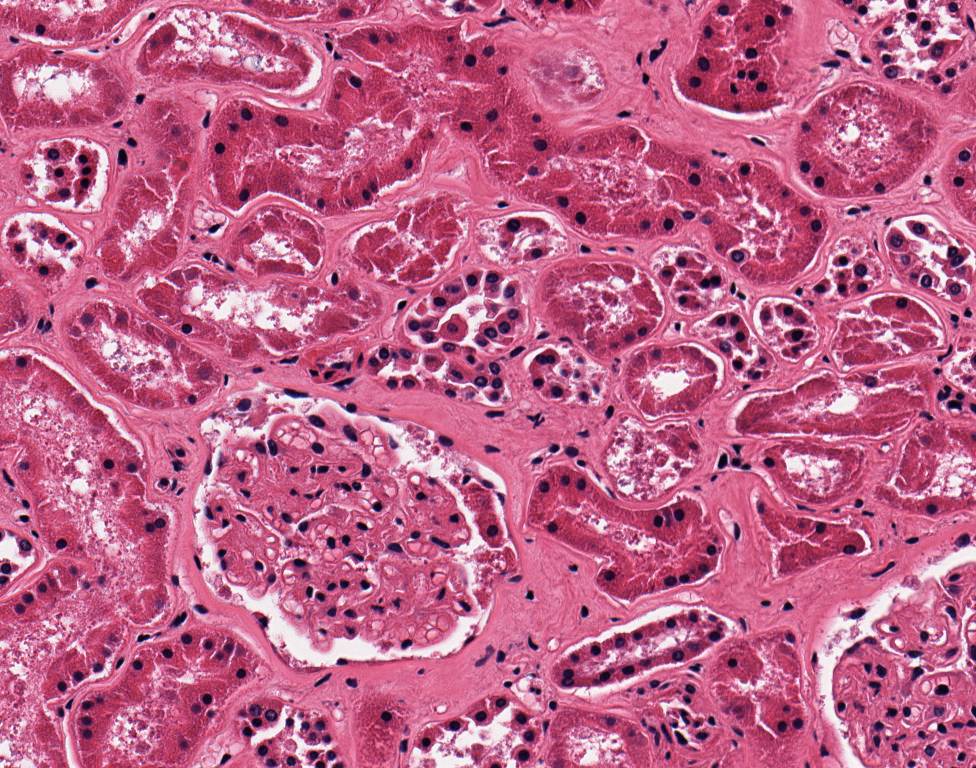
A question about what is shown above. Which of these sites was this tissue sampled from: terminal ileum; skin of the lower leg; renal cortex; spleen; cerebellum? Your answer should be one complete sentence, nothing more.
Tissue for this section was sampled from the renal cortex.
